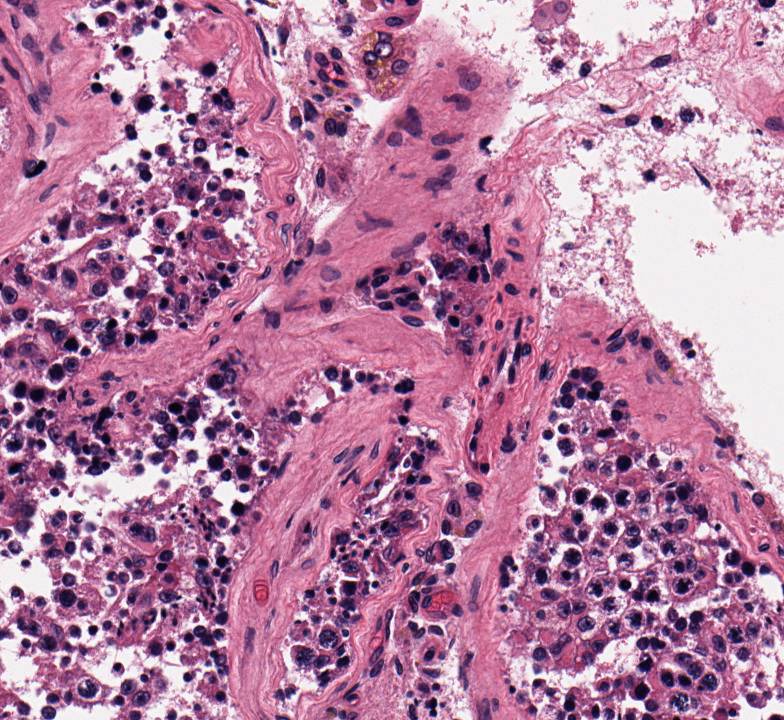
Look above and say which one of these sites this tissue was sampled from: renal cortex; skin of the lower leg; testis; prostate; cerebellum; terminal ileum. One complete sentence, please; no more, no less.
A specimen of the testis is what this section contains.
